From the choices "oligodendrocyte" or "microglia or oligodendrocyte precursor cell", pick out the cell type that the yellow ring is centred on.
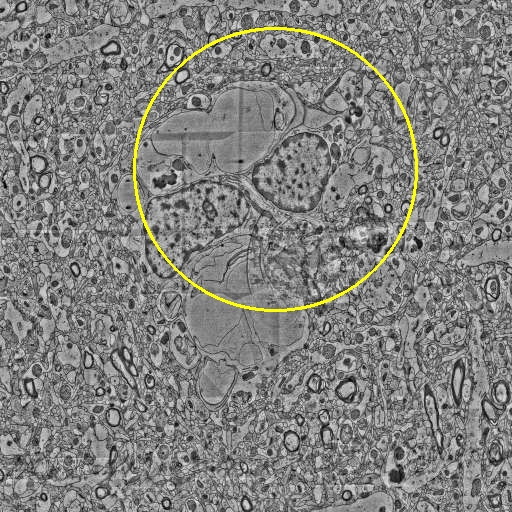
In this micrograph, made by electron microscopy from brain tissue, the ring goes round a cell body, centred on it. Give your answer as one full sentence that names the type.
The yellow ring is centred on a microglial cell or oligodendrocyte precursor cell, whose cell body it encircles in the picture.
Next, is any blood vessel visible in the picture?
Yes, there is one.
